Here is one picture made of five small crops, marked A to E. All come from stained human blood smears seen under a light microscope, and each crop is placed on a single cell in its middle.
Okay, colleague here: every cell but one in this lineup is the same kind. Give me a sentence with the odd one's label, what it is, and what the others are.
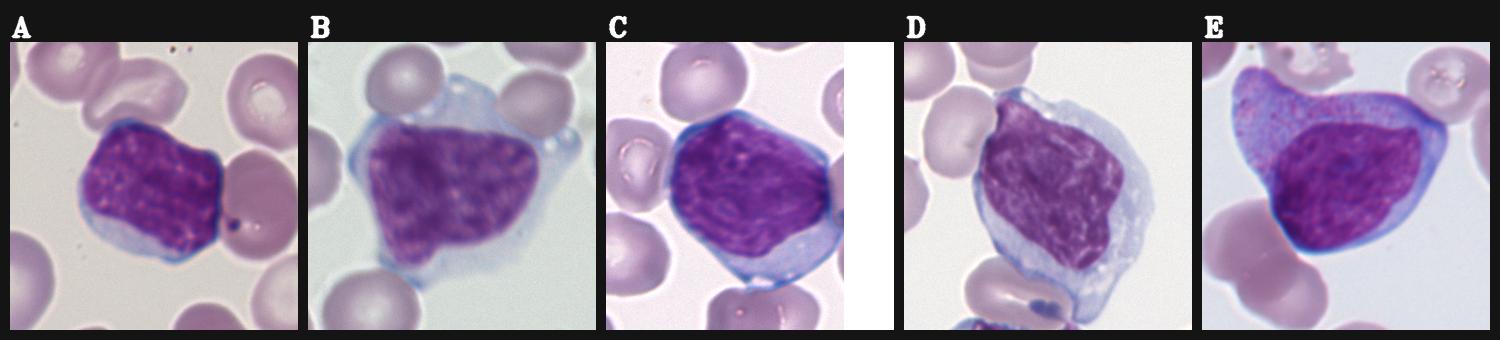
Whereas the other crops show myeloblasts, crop E is an atypical promyelocyte.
